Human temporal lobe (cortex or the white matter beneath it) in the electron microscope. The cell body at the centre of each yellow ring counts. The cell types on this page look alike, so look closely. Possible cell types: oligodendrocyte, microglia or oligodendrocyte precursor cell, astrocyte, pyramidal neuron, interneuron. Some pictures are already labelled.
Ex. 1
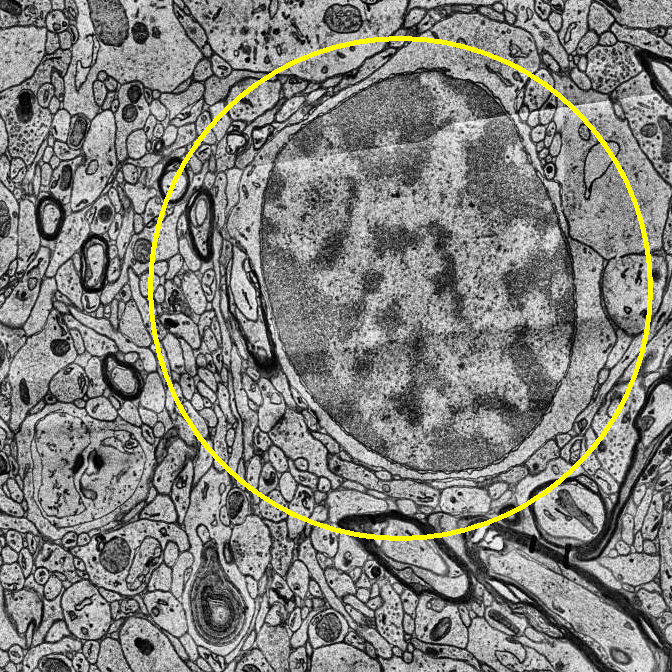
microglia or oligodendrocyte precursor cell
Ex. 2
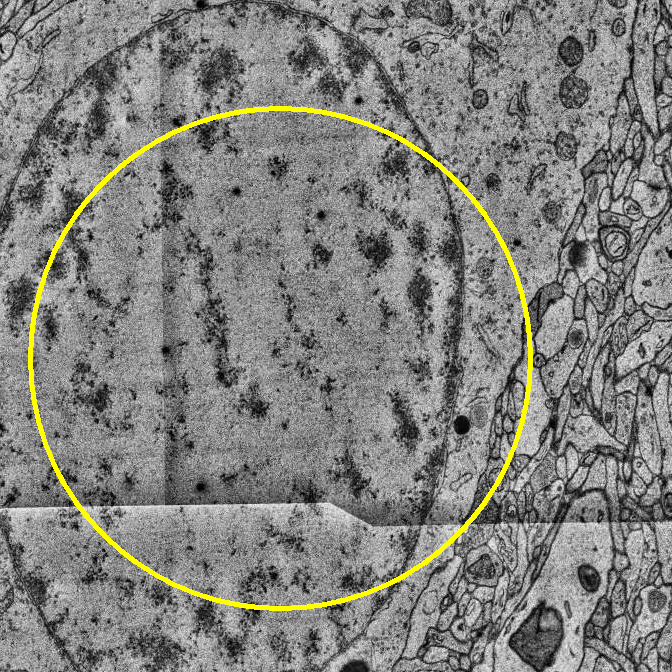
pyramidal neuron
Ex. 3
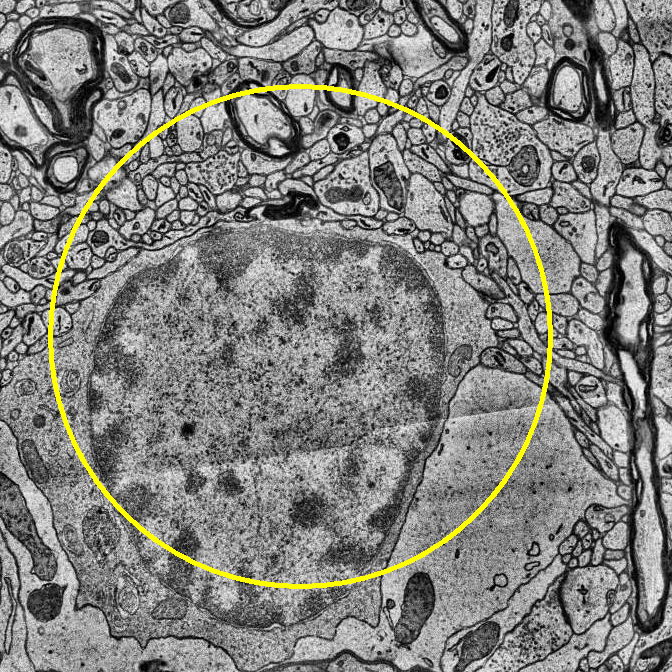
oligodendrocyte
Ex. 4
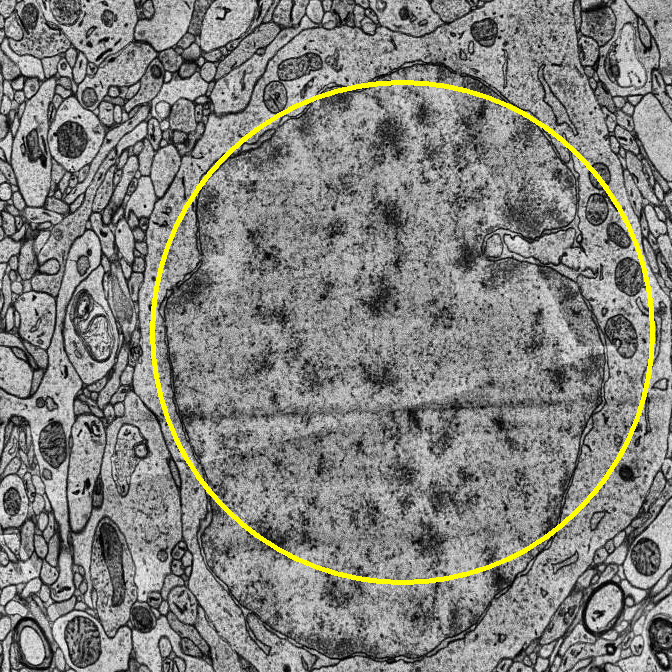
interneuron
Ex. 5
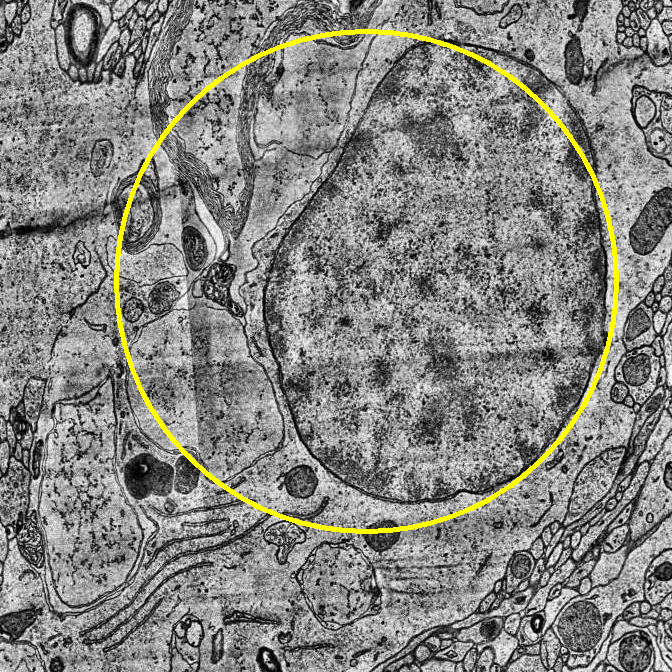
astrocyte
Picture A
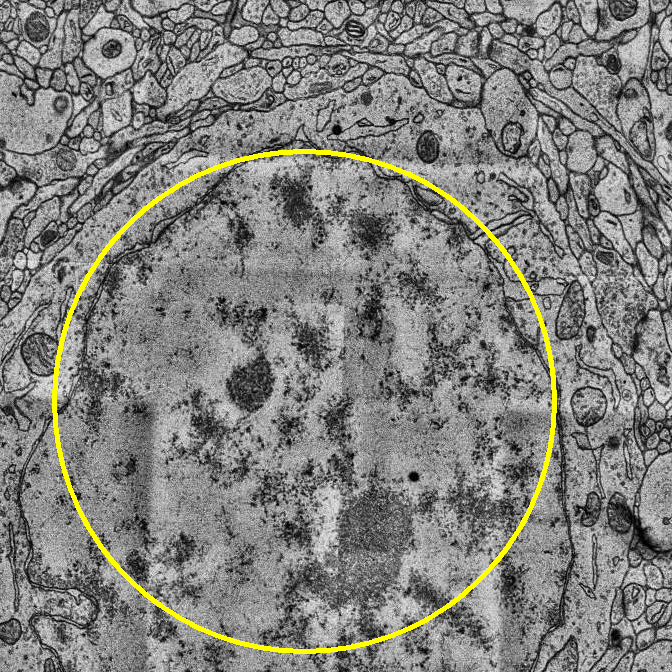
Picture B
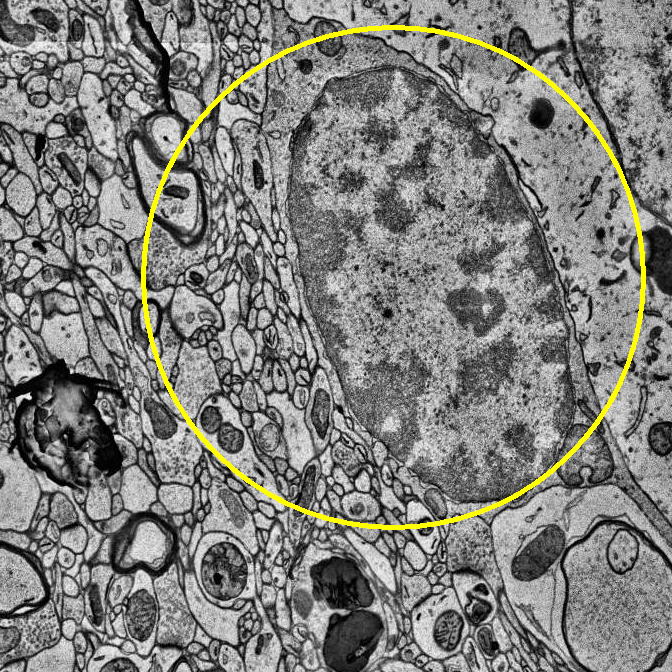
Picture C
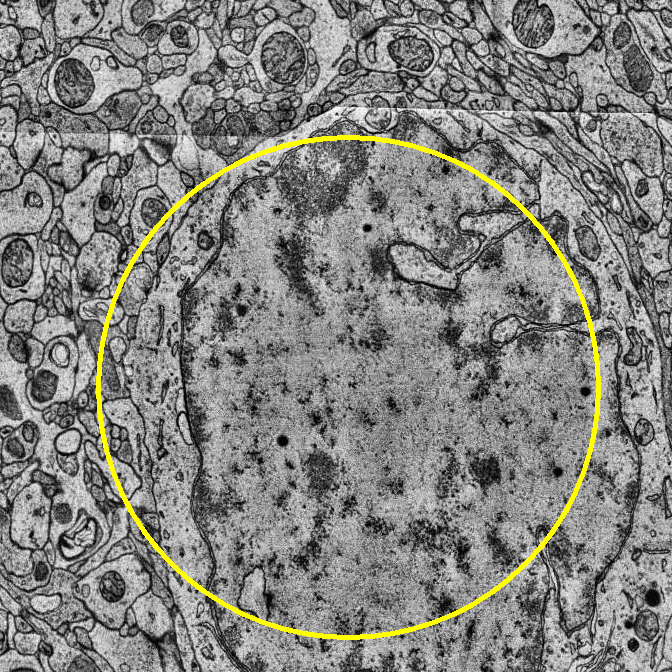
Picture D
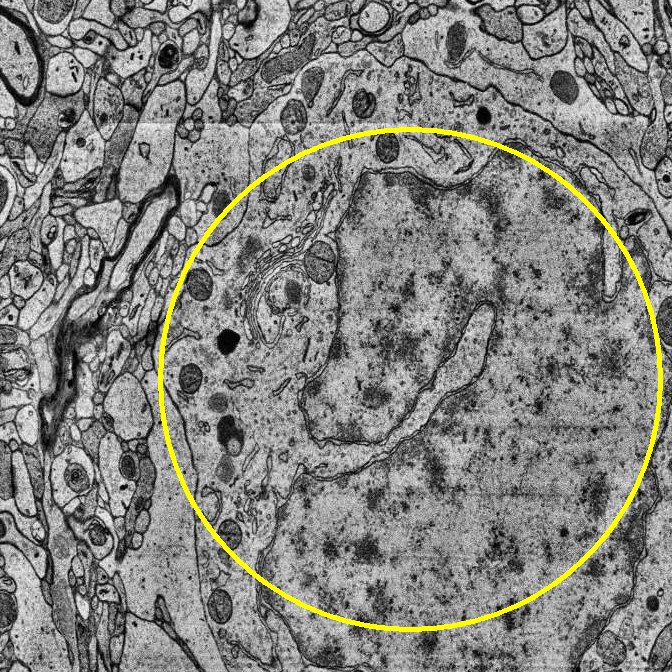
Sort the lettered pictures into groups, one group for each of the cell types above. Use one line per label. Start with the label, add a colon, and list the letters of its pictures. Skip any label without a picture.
oligodendrocyte: B
interneuron: A, C, D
